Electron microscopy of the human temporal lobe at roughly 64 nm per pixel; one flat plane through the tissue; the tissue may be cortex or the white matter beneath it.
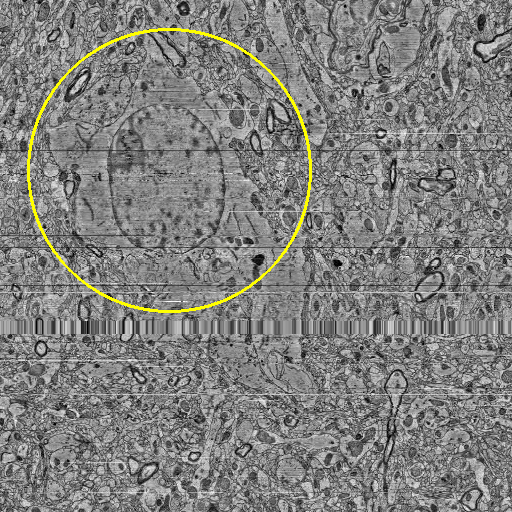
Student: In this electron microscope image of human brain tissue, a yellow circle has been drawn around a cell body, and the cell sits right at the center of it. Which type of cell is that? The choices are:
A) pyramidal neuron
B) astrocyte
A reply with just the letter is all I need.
B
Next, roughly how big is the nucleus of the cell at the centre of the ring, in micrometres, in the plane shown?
About 10 by 8 micrometres in this plane.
